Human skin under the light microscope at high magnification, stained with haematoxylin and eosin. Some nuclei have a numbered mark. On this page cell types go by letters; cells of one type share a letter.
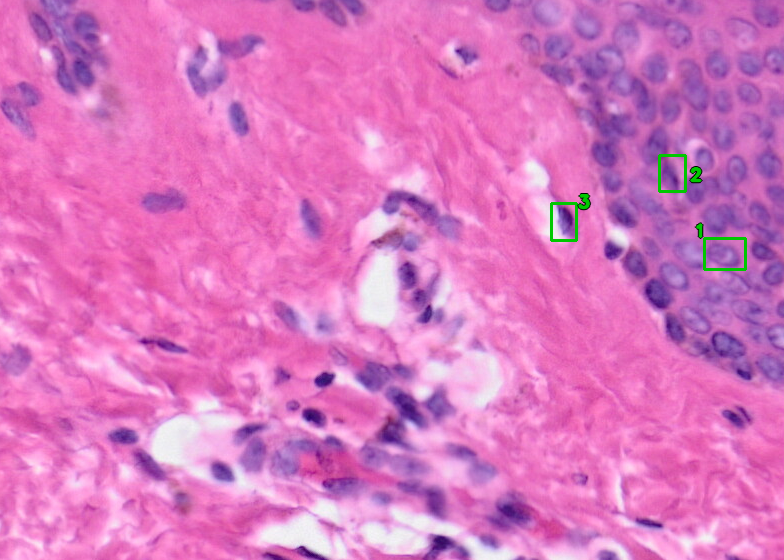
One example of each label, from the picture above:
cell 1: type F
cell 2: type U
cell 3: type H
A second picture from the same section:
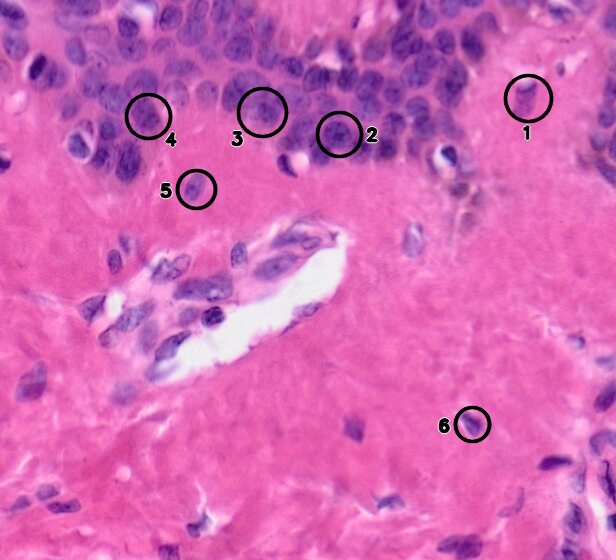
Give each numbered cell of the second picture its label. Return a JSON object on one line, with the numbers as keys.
{"1": "type H", "2": "type U", "3": "type U", "4": "type U", "5": "type H", "6": "type H"}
